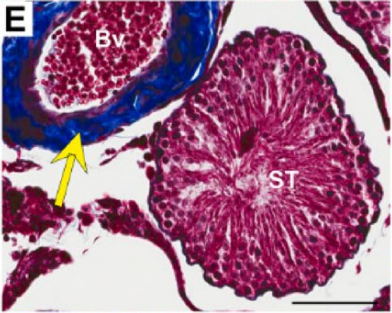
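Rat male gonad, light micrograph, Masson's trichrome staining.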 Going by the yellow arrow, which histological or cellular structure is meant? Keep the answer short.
Collagen fibres.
